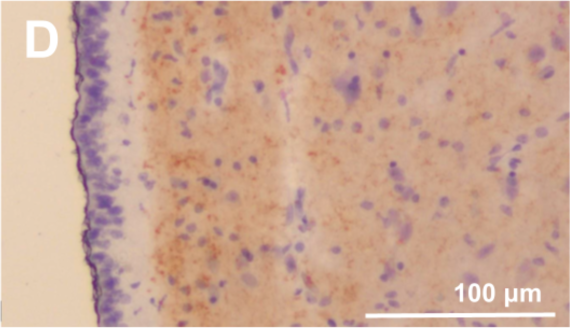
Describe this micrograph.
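This is the brain tissue lining a ventricle. Along the left edge runs a dense, single band of lining cells with closely packed, dark blue-purple nuclei, and beyond it a narrow pale zone nearly free of nuclei. Further into the tissue the blue nuclei are scattered and oval or elongated, some with faint purple cell bodies. Fine brown dots and granules gather in a broad band a short distance from the lining, and more brown granules are spread among the cells further right. The lining band itself carries hardly any brown stain.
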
